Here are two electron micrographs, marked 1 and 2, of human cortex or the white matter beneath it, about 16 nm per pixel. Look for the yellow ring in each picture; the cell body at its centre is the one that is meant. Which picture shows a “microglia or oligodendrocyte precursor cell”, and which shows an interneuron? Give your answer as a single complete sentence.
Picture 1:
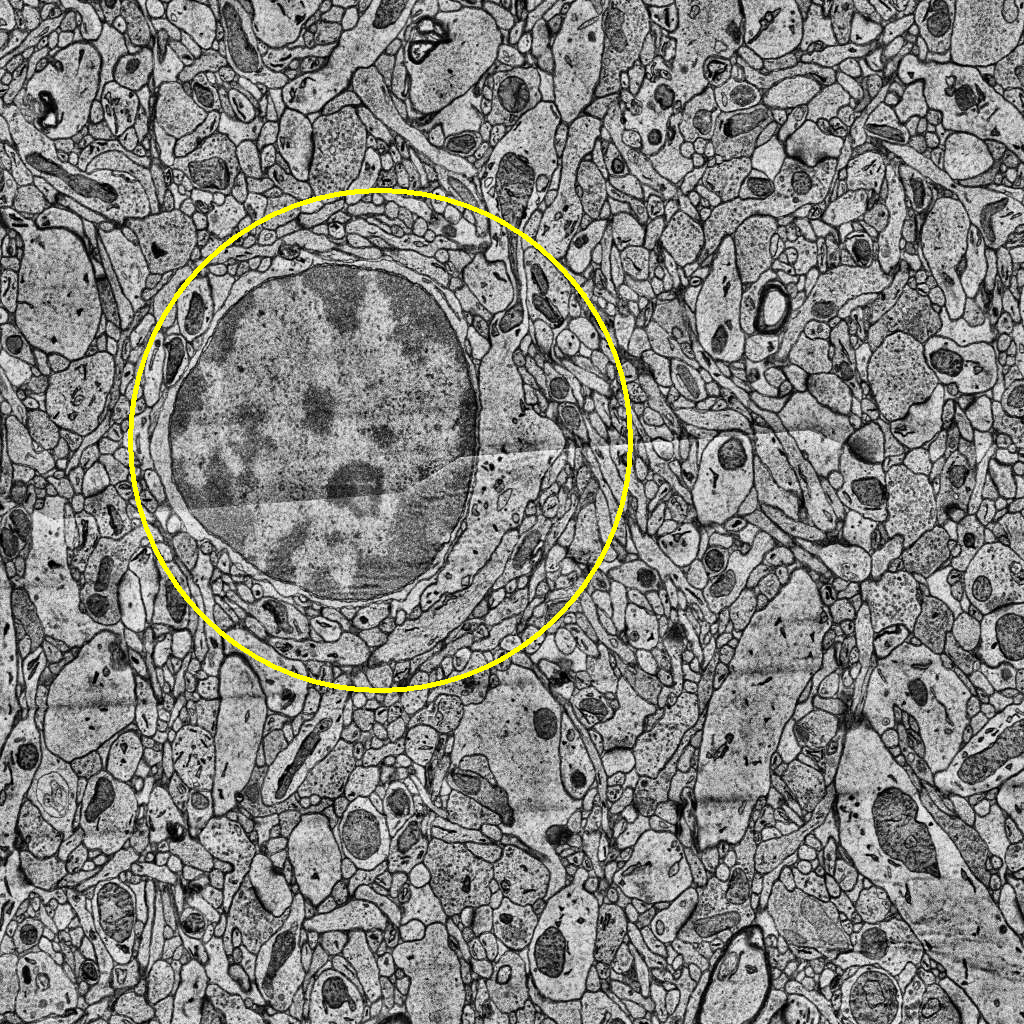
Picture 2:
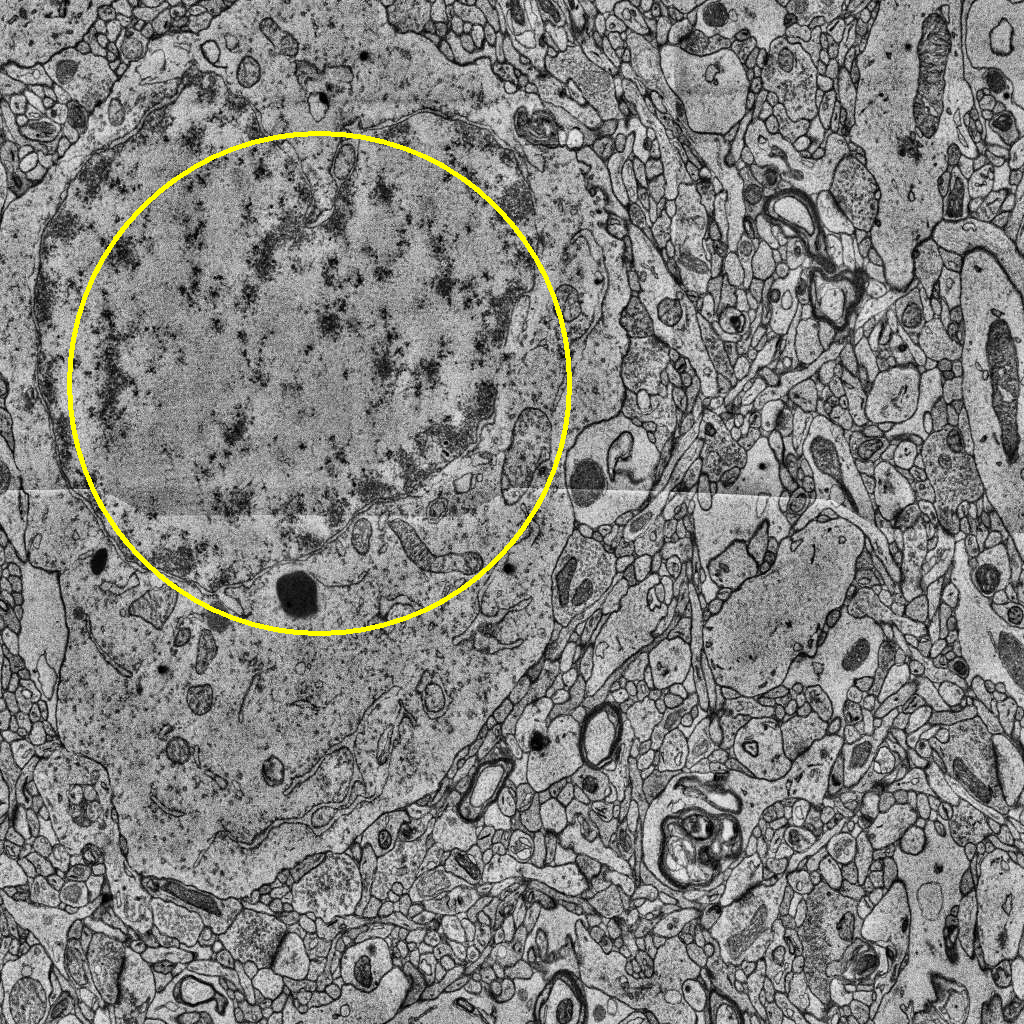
Picture 2 shows an interneuron, while picture 1 shows a “microglia or oligodendrocyte precursor cell”.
